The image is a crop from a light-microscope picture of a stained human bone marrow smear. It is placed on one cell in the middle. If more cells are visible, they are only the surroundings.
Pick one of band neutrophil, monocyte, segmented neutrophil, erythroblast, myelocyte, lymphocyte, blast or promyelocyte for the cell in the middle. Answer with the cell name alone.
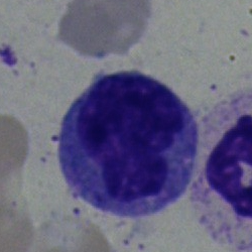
monocyte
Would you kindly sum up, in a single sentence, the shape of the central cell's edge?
Its surface contour is regular and smooth, without any protrusions.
